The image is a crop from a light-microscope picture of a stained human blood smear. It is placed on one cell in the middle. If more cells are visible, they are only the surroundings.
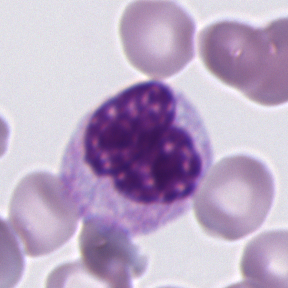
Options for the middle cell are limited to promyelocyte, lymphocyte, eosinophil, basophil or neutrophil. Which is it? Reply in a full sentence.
This crop's central cell is a neutrophil.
